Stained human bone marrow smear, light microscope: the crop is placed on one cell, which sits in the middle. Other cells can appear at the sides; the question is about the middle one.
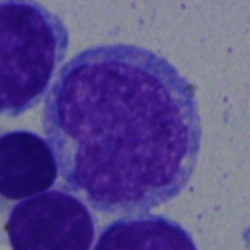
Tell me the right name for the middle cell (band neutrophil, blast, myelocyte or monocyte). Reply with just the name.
monocyte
